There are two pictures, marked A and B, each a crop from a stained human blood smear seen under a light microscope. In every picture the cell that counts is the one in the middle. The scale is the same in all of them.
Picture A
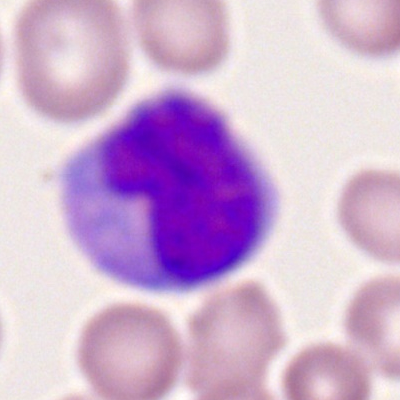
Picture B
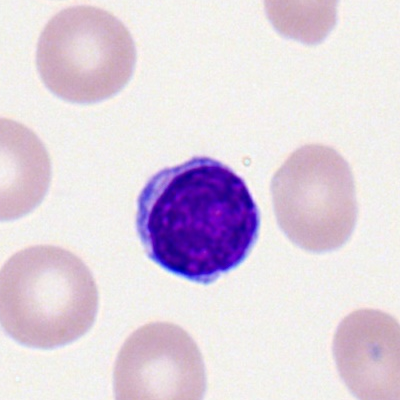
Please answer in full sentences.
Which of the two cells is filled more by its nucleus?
In picture B the nucleus takes up the larger part of its cell.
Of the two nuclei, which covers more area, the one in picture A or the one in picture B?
Larger is the nucleus in picture A, at roughly 2 times the area of the other.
